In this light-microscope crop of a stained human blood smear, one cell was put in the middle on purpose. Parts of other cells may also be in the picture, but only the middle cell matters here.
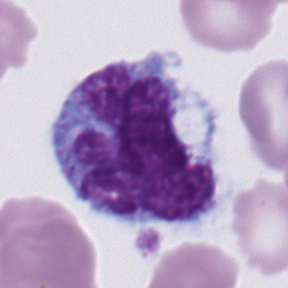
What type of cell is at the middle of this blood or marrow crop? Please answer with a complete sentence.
In the crop, the cell of interest at the centre is a monocyte.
